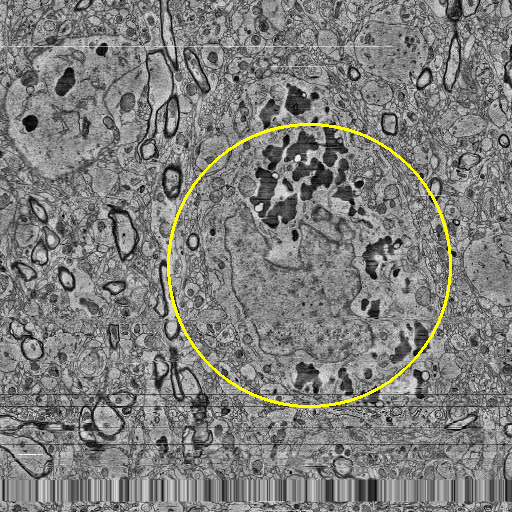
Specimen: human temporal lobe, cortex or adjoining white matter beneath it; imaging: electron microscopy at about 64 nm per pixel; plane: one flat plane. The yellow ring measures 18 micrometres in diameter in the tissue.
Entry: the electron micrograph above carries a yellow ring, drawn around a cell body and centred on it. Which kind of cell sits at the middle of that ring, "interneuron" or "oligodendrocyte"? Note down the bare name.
interneuron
